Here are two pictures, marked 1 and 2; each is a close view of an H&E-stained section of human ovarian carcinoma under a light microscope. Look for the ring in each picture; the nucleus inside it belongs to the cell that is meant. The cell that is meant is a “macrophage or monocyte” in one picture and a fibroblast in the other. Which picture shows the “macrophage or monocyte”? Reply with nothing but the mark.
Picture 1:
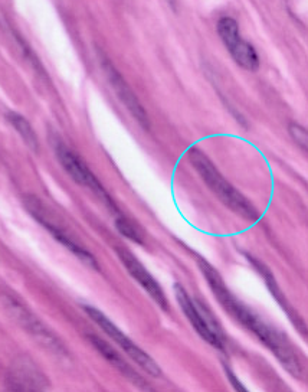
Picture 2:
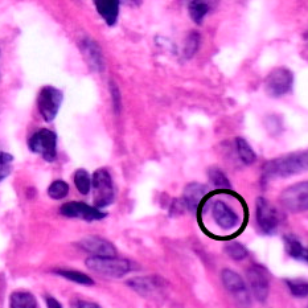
2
